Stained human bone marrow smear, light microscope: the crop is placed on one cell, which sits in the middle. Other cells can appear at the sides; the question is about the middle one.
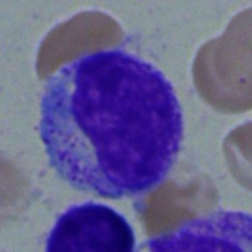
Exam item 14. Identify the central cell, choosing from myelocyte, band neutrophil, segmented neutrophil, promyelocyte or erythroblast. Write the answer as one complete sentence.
Classification of the middle cell gives a myelocyte.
